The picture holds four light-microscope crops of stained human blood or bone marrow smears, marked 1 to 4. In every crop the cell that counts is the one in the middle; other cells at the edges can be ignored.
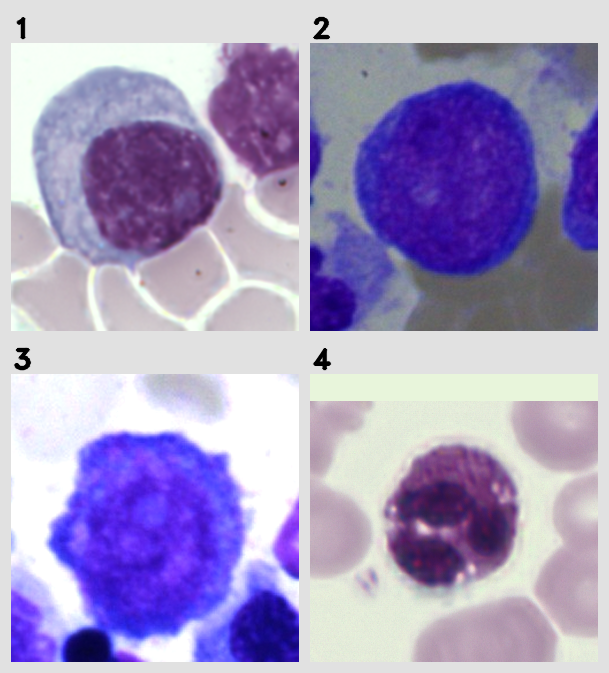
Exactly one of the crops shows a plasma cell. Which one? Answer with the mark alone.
1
